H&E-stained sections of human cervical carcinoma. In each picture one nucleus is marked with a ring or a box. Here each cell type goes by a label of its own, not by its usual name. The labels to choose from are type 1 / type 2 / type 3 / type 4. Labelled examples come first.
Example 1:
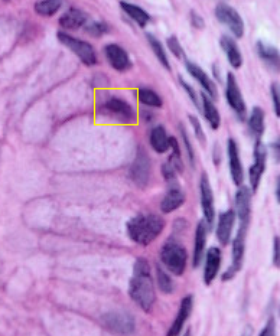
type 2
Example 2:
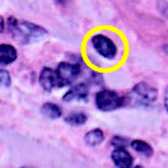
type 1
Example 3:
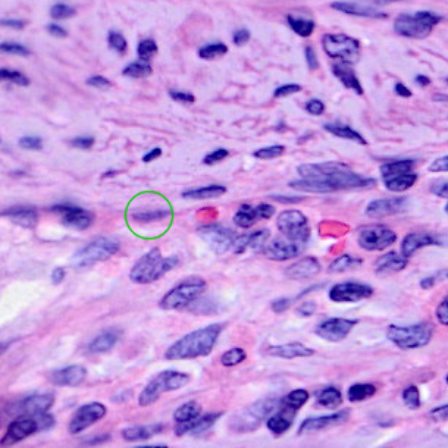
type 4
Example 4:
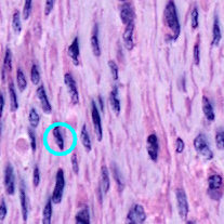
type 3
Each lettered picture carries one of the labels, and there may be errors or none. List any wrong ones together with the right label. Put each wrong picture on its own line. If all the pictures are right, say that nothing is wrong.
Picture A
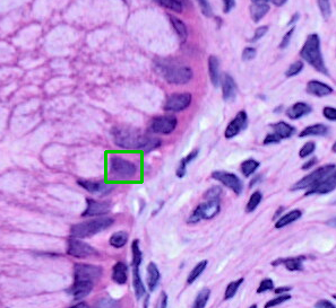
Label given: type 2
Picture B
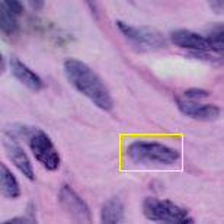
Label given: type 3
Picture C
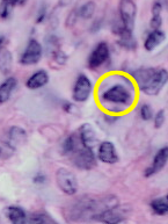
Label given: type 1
Every label is right.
